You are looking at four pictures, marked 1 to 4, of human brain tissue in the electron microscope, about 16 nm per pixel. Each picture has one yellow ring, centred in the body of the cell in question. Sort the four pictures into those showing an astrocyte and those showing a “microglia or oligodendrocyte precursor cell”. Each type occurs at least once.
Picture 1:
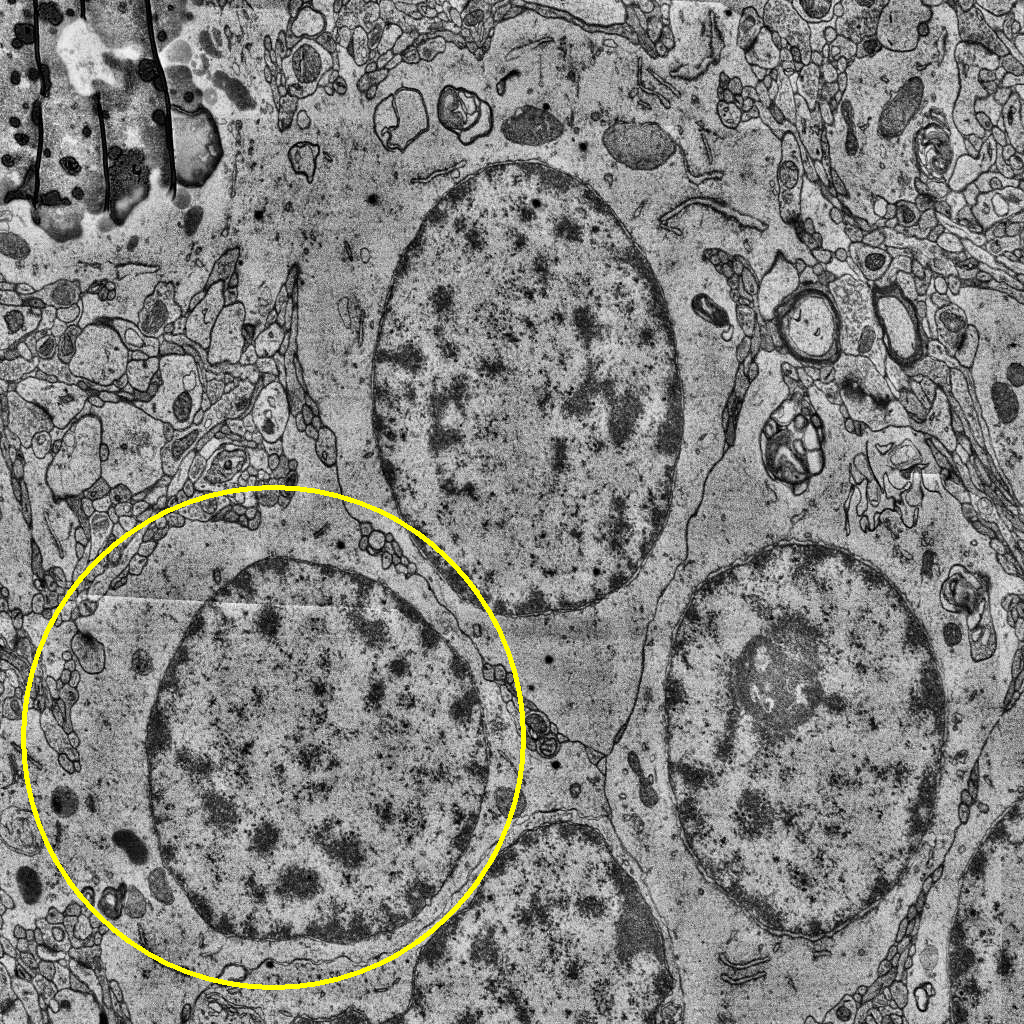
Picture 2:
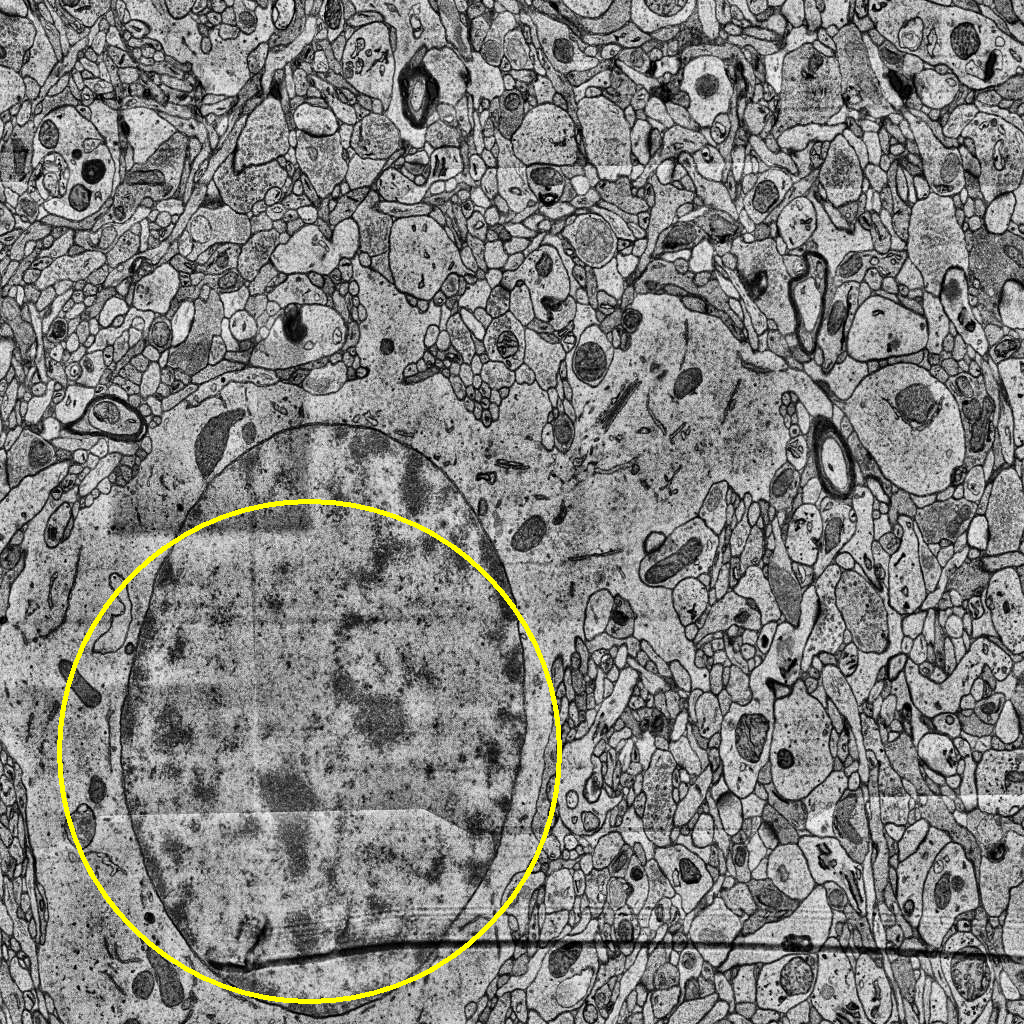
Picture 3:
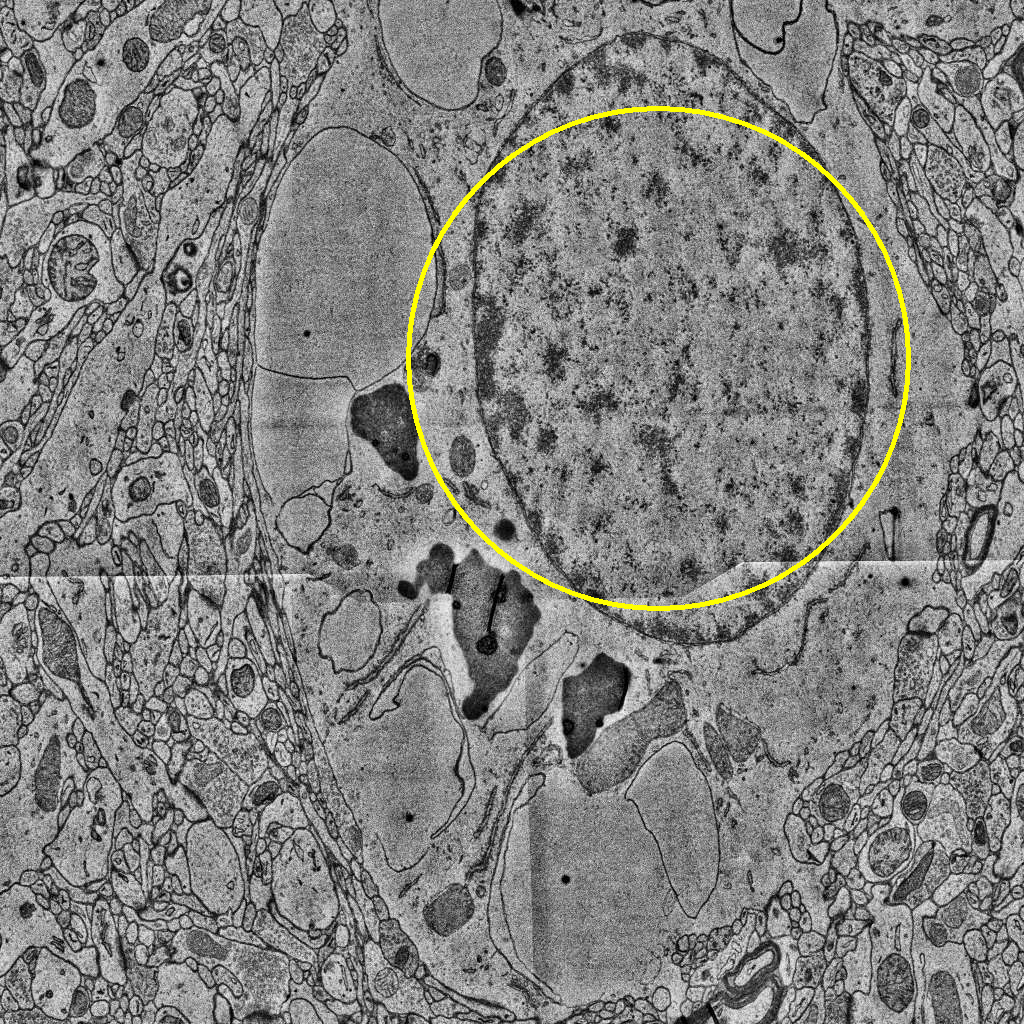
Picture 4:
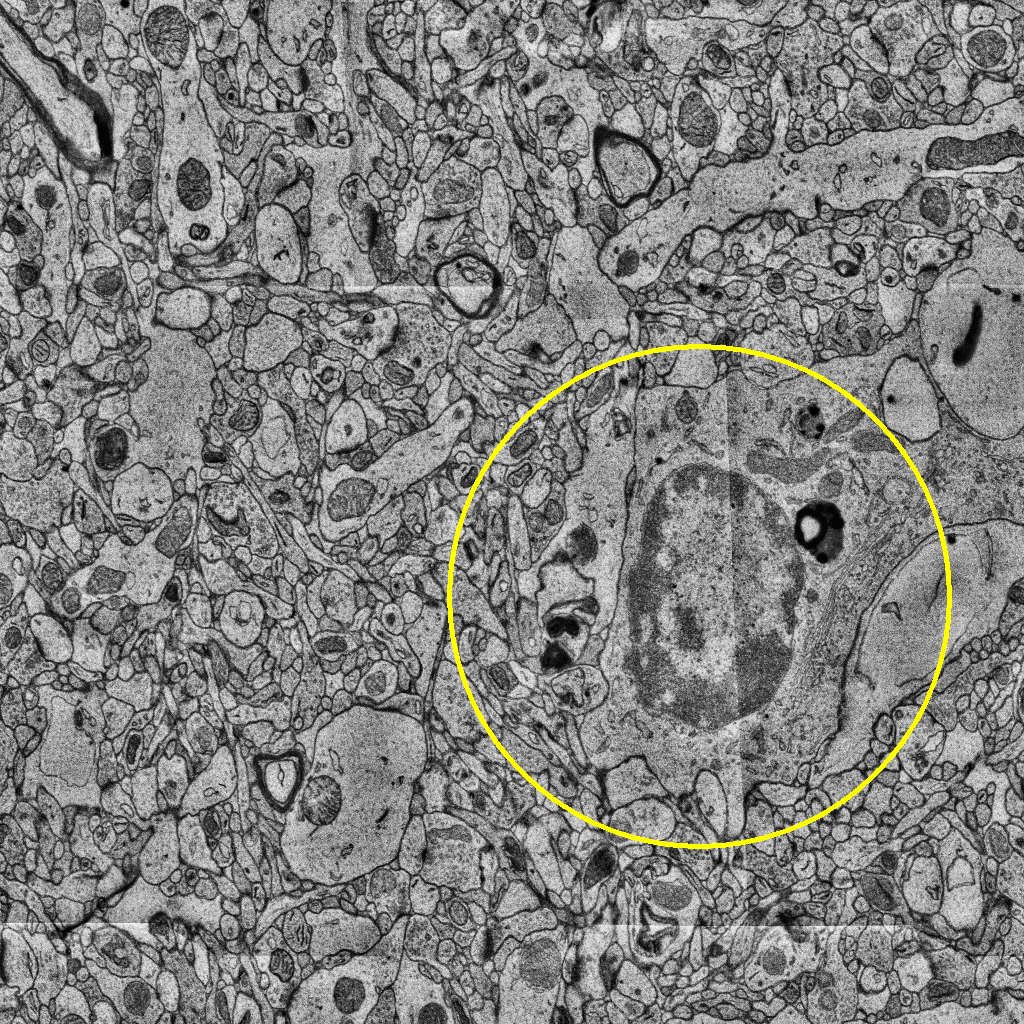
Pictures 1, 2 and 3 show astrocytes, while picture 4 shows a “microglia or oligodendrocyte precursor cell”.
